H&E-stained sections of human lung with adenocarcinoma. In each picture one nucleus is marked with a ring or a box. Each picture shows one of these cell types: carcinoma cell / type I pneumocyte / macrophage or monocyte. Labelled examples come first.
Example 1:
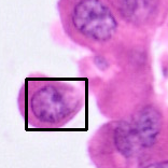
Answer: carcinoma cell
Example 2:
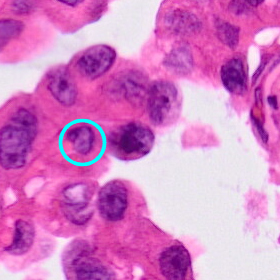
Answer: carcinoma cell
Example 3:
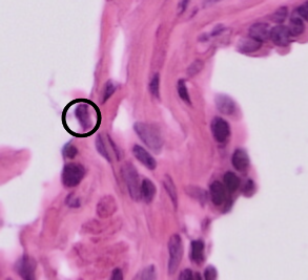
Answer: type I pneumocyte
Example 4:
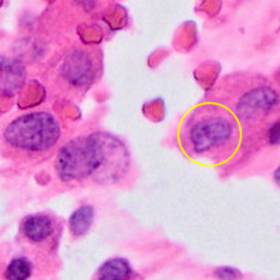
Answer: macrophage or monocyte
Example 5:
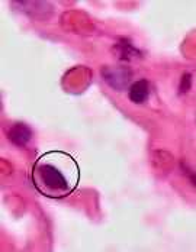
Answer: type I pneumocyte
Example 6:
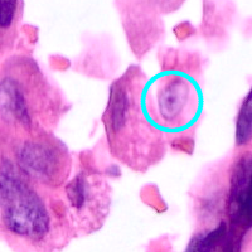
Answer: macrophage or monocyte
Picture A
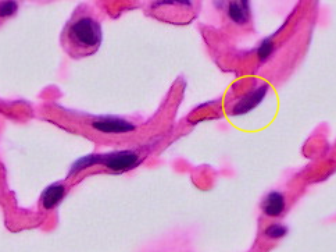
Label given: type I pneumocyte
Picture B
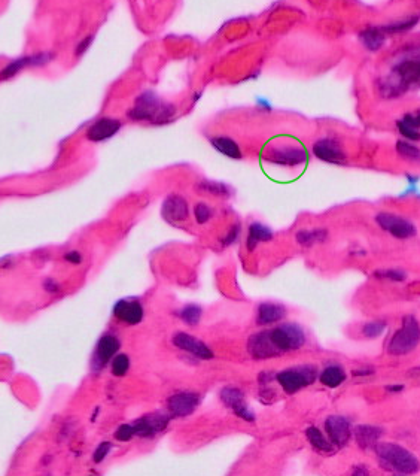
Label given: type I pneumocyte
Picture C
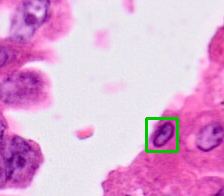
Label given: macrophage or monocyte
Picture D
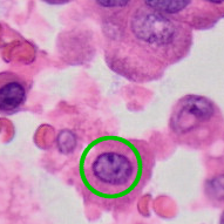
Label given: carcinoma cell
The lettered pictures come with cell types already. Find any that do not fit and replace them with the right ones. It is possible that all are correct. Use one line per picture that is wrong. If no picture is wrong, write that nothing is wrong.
D: macrophage or monocyte, not carcinoma cell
